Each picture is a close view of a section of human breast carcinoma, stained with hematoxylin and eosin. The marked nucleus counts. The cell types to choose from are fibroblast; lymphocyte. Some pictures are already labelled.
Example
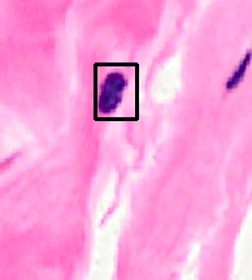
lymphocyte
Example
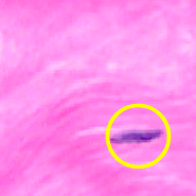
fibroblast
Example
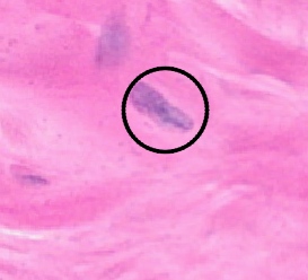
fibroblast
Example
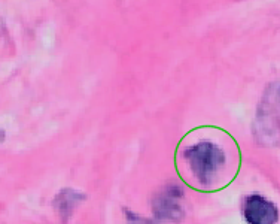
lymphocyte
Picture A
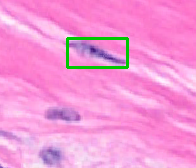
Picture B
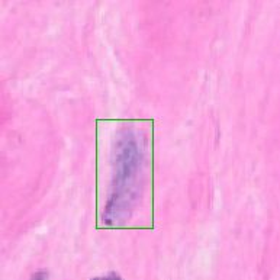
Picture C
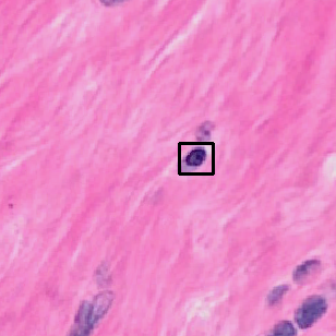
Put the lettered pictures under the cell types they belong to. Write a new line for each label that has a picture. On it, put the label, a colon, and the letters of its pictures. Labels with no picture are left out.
fibroblast: A, B
lymphocyte: C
